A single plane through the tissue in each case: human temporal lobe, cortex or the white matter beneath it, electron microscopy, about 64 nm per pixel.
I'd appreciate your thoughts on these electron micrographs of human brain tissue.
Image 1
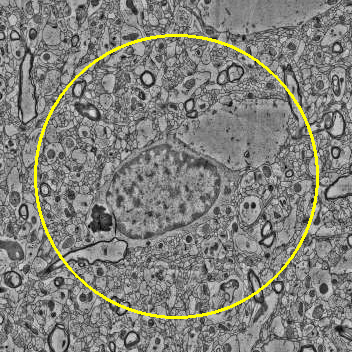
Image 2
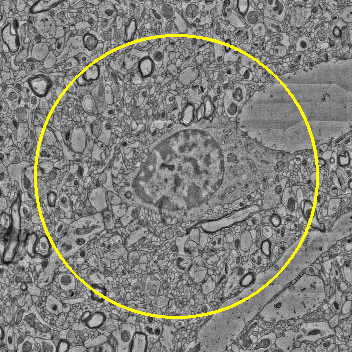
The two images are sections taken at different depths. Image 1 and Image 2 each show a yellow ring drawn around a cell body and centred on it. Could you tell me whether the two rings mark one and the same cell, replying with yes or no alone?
yes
